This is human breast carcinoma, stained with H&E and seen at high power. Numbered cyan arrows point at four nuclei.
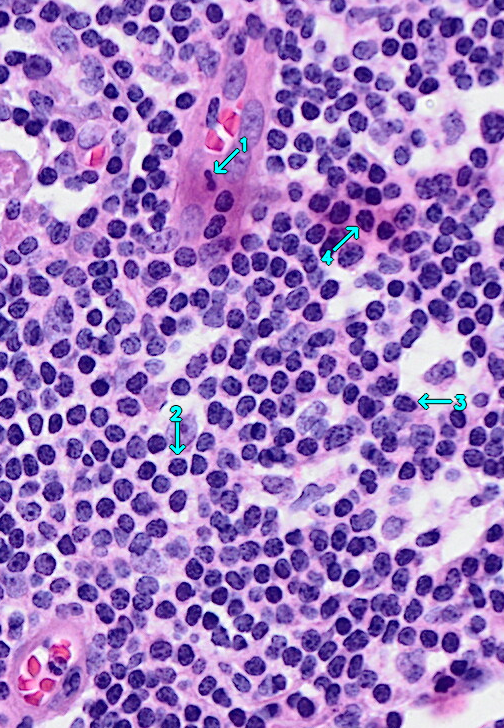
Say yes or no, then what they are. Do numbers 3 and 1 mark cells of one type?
No, a lymphocyte is what cell 3 is, and an endothelial cell is what cell 1 is.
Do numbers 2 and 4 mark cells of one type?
Yes, both cell 2 and cell 4 count among the lymphocytes.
